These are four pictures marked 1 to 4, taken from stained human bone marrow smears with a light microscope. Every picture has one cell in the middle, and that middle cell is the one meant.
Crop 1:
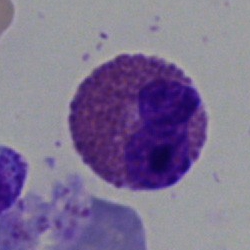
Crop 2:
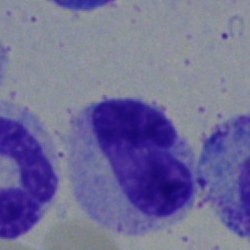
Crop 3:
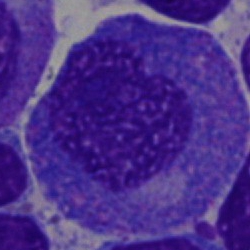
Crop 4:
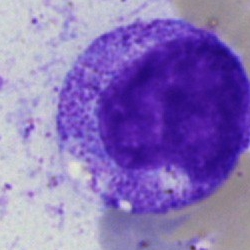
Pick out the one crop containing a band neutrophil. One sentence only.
The crop bearing a band neutrophil is crop 2.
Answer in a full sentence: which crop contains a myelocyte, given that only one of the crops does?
Crop 4 is the right one; it is the crop showing a myelocyte.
